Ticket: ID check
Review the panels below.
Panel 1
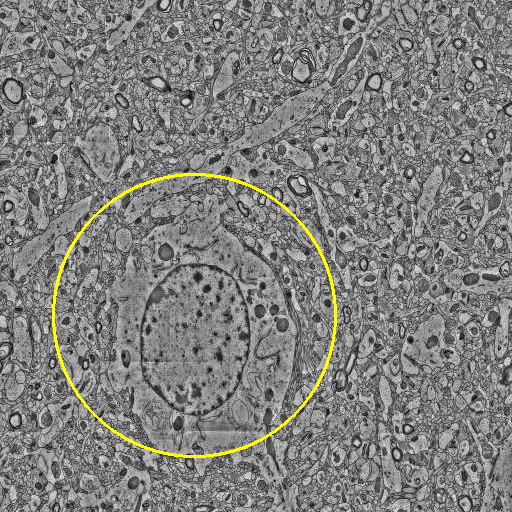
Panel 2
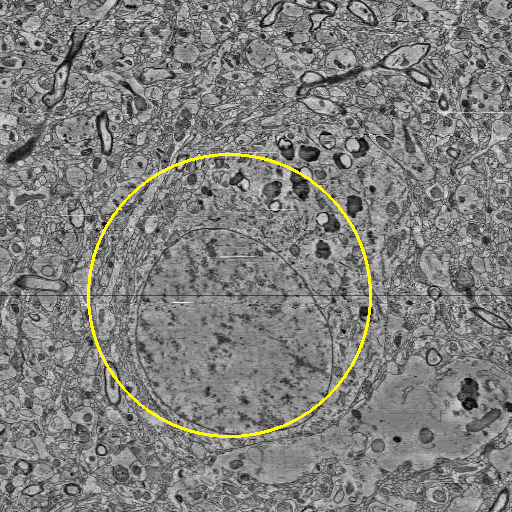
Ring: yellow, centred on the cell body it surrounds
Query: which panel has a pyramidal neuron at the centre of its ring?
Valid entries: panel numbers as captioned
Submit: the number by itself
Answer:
2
